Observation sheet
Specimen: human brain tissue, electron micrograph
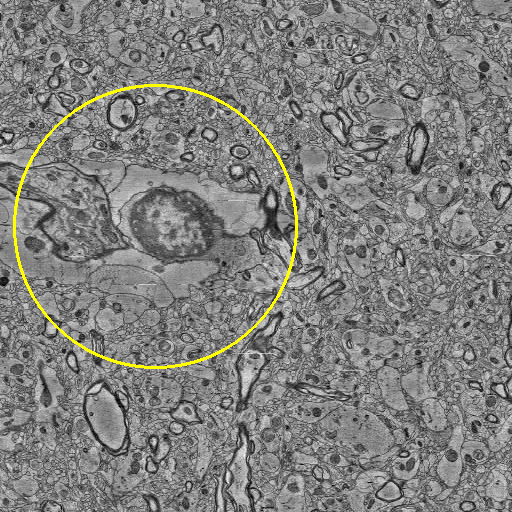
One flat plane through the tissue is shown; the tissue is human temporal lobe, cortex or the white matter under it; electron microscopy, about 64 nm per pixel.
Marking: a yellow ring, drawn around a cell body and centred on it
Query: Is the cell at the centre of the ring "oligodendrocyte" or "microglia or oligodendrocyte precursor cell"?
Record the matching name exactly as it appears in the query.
oligodendrocyte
